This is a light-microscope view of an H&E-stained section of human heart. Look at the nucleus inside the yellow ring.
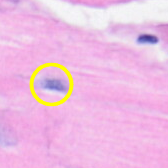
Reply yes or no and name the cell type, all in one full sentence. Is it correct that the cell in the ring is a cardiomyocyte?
No, the cell in the ring is to be identified as an endothelial cell, not a cardiomyocyte.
